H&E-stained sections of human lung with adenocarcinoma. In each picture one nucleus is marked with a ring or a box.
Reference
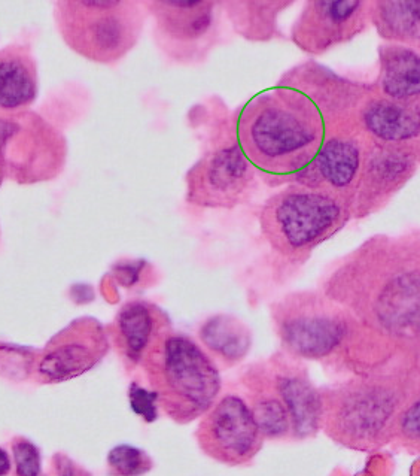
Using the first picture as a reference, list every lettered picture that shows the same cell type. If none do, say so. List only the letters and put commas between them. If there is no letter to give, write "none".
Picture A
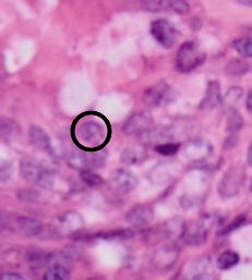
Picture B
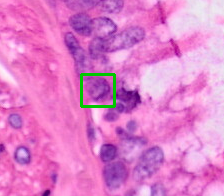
none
